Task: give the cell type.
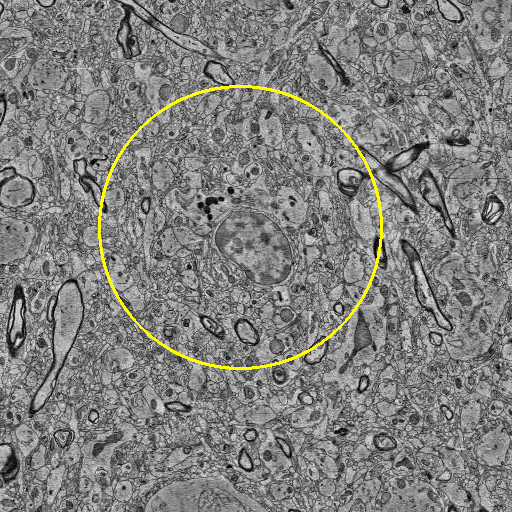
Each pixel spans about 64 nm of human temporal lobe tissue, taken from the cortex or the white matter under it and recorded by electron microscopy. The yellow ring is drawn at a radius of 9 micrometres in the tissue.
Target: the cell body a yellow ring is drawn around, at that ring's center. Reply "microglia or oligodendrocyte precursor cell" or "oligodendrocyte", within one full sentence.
In this picture, the cell whose body lies at the ring's center is a microglial cell or oligodendrocyte precursor cell.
